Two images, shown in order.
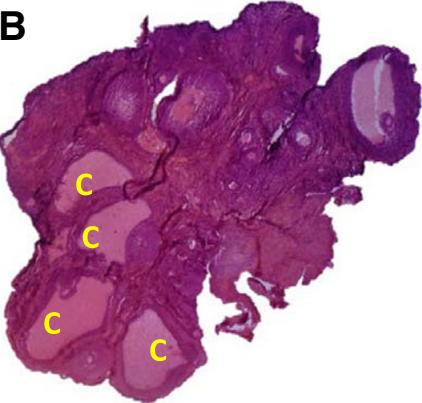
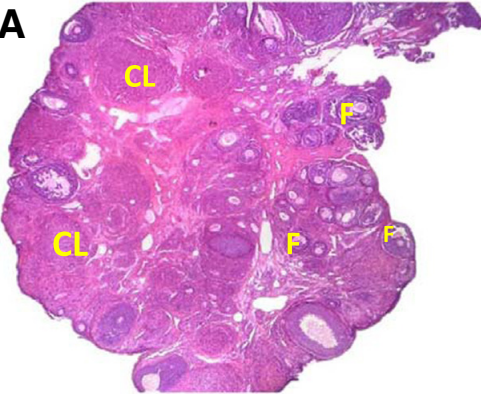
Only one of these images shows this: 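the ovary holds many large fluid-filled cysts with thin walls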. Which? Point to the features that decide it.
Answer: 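Second image: follicles of many sizes with thick cell layers and solid bodies of large cells, no large thin-walled cavities. First image: several large cavities with pale pink fluid and thin linings crowd one part of the section. On this evidence: the first image.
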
